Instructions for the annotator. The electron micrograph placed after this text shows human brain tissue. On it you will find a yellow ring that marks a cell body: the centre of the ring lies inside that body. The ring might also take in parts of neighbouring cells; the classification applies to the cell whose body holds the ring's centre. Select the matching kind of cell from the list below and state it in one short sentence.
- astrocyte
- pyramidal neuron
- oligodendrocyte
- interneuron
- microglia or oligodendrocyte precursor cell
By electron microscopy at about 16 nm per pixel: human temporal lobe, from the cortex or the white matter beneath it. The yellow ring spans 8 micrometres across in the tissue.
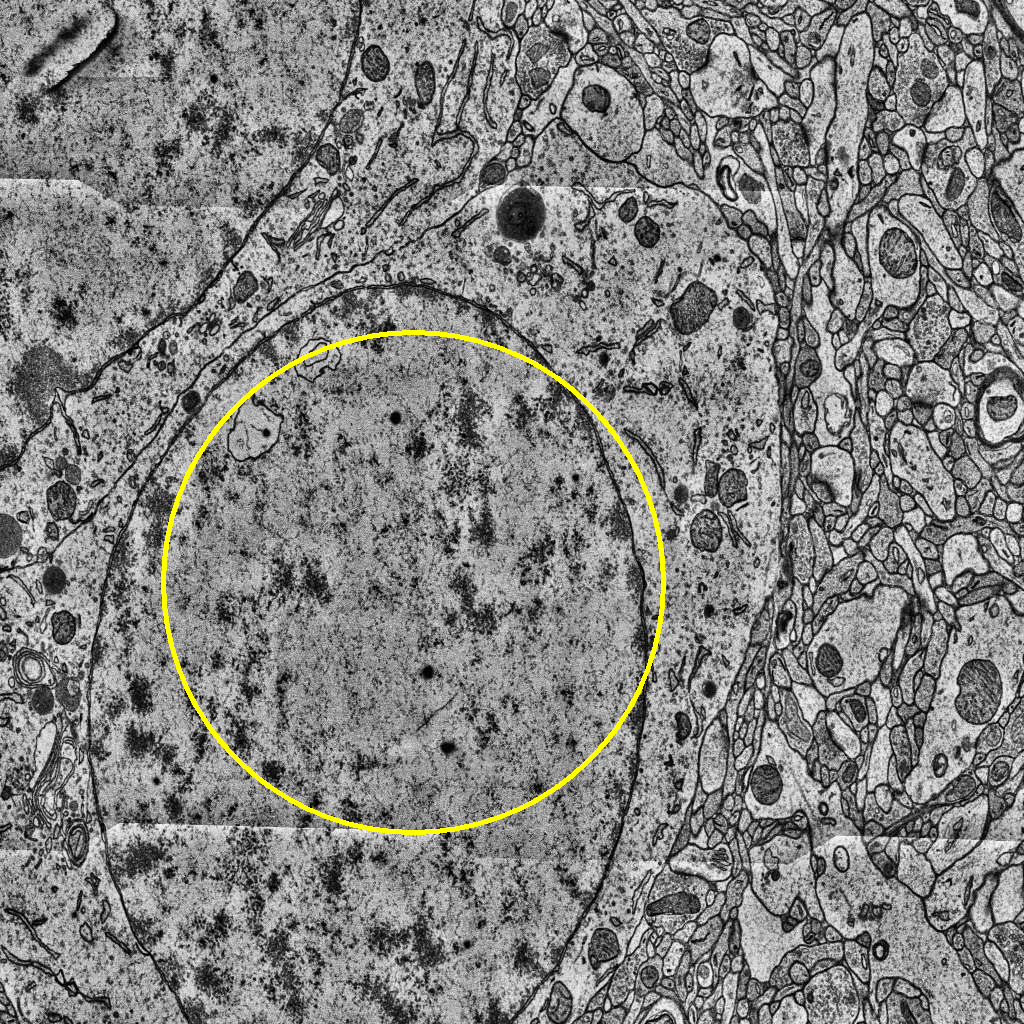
The centre of the ring lies in the cell body of a pyramidal neuron.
